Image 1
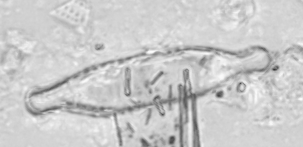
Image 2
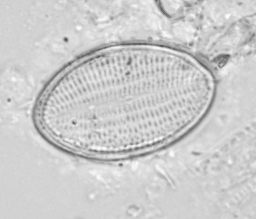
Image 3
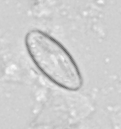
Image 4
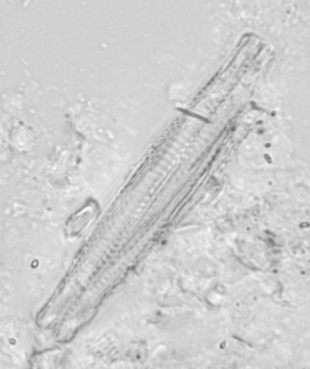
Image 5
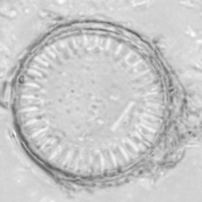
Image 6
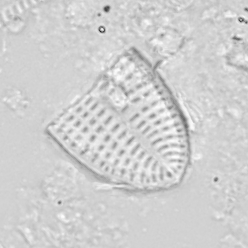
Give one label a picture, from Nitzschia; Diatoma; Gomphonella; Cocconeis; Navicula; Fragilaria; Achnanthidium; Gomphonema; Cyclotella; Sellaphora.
(1) Fragilaria
(2) Cocconeis
(3) Nitzschia
(4) Navicula
(5) Cyclotella
(6) Cocconeis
